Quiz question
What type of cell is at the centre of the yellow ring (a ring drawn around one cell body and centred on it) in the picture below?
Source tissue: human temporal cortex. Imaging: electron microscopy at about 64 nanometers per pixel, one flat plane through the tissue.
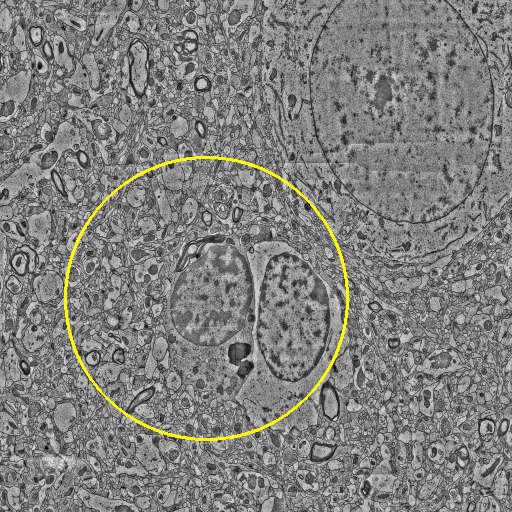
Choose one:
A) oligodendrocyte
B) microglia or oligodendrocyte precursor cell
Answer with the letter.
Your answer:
A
